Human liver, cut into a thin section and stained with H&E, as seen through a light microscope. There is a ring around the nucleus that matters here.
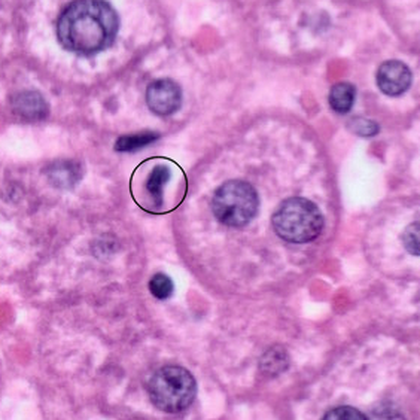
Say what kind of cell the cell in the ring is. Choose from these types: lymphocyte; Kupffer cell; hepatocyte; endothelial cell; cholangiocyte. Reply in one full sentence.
The cell type represented by the cell in the ring is that of a lymphocyte.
